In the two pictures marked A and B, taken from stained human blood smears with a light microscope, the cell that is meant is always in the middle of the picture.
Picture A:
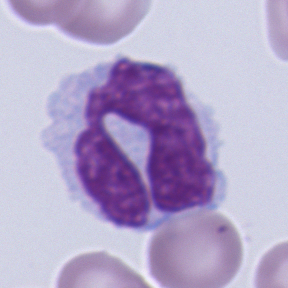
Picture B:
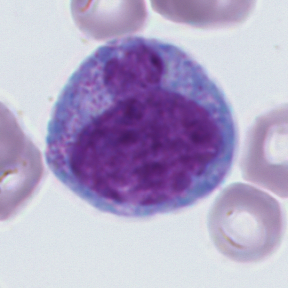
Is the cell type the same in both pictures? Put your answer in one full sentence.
No, they differ: the cell is a monocyte in picture A and a promyelocyte in picture B.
